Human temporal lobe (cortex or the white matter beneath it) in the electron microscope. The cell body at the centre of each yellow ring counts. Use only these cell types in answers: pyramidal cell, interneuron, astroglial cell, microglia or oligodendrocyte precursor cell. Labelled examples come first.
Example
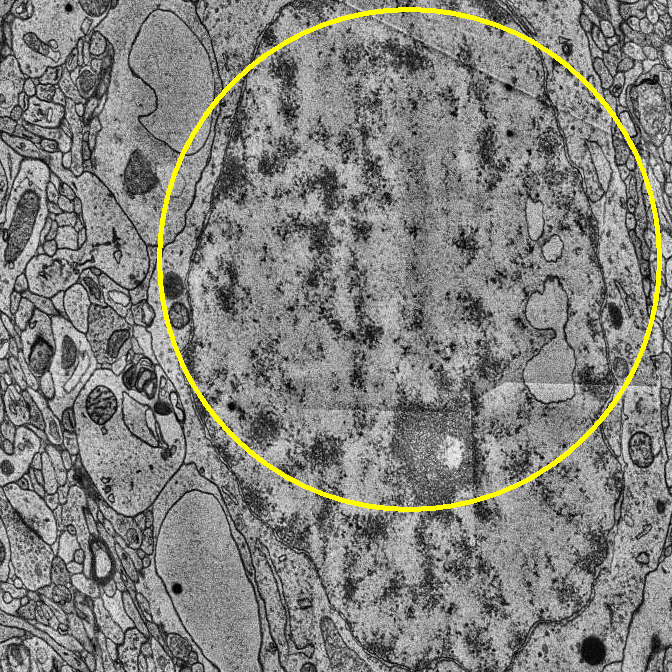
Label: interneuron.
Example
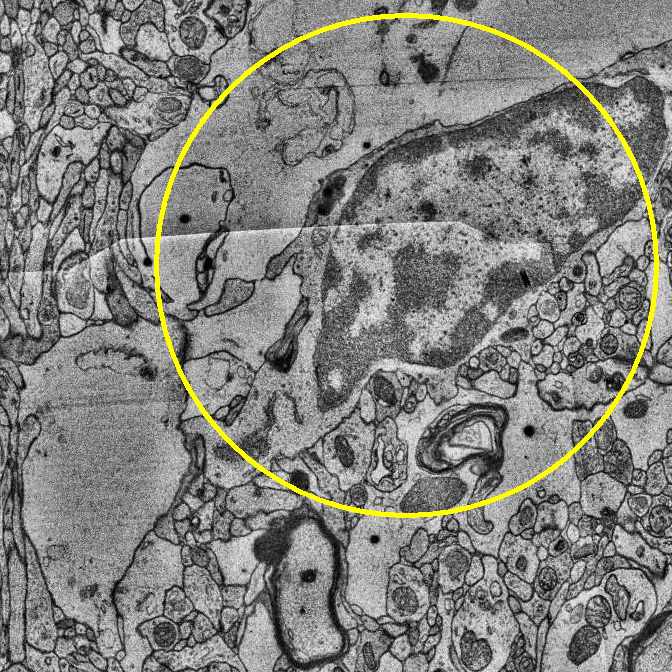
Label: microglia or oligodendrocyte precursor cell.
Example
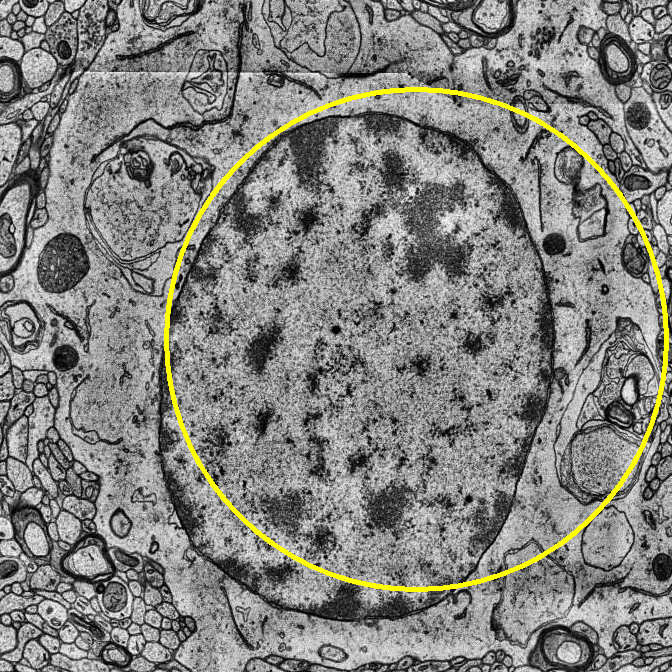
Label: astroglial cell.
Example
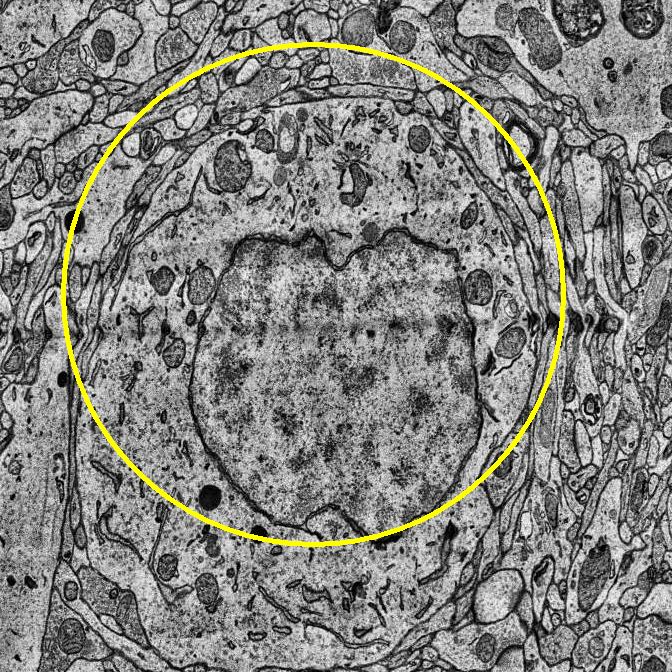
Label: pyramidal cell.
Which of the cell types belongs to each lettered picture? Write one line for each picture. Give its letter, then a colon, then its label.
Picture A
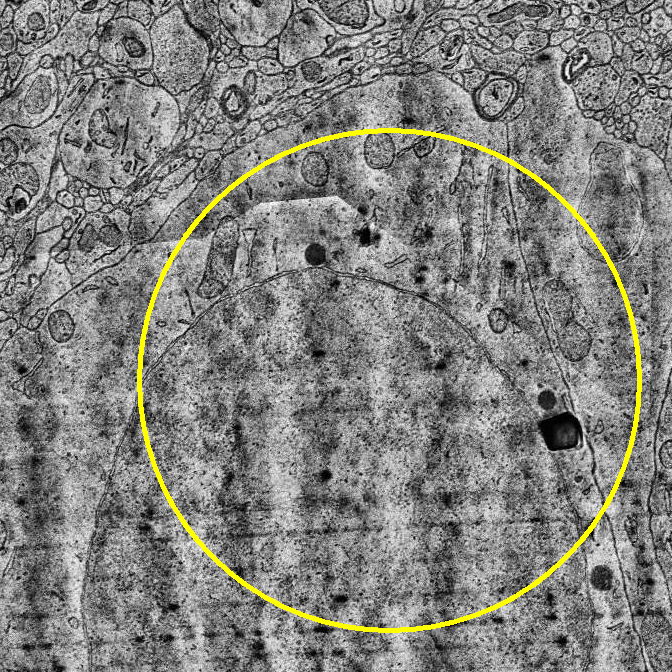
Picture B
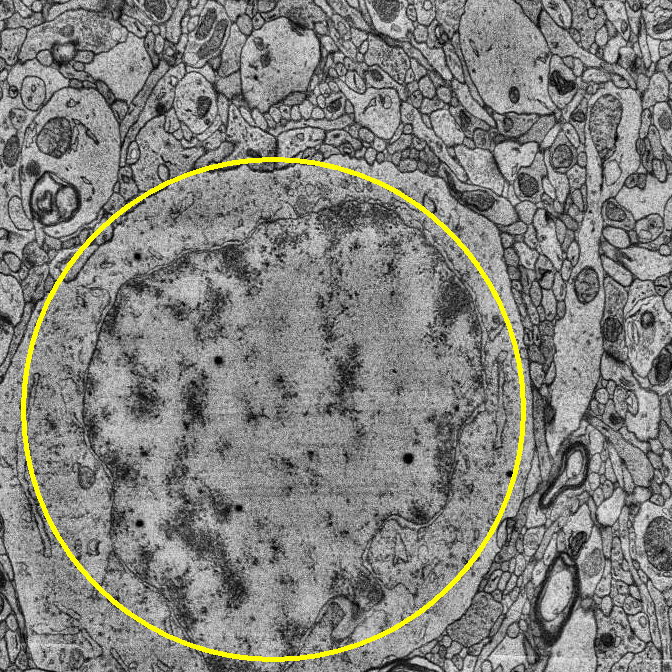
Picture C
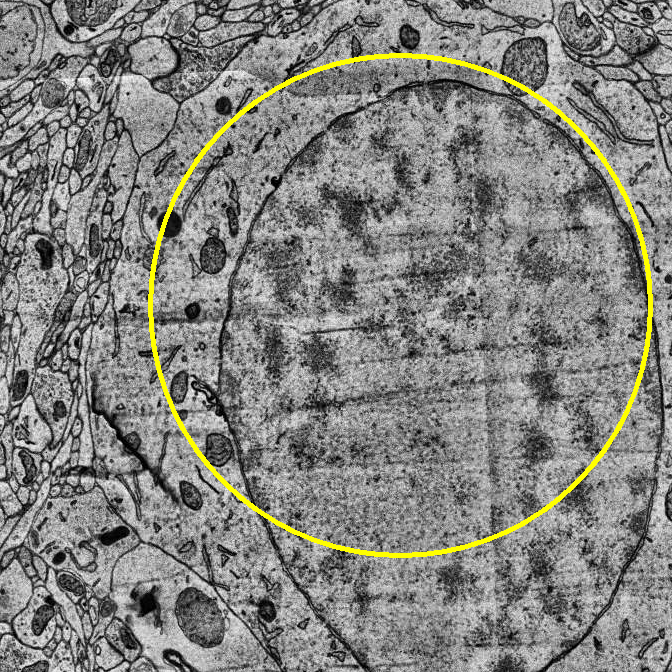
A: pyramidal cell.
B: interneuron.
C: pyramidal cell.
